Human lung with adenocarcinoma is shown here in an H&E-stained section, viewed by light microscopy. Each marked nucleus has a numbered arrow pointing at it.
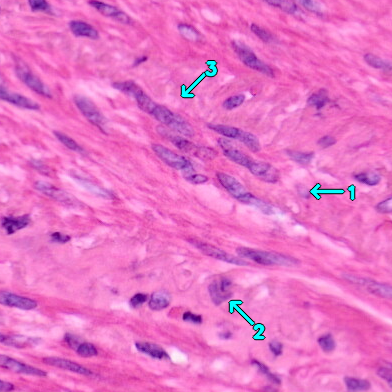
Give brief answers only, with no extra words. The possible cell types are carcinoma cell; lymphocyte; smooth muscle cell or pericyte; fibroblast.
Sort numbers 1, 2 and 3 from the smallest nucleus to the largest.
1, 2, 3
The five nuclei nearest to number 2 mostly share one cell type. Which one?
smooth muscle cell or pericyte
